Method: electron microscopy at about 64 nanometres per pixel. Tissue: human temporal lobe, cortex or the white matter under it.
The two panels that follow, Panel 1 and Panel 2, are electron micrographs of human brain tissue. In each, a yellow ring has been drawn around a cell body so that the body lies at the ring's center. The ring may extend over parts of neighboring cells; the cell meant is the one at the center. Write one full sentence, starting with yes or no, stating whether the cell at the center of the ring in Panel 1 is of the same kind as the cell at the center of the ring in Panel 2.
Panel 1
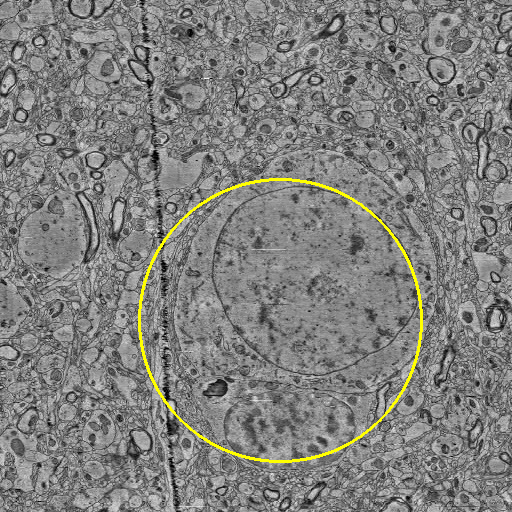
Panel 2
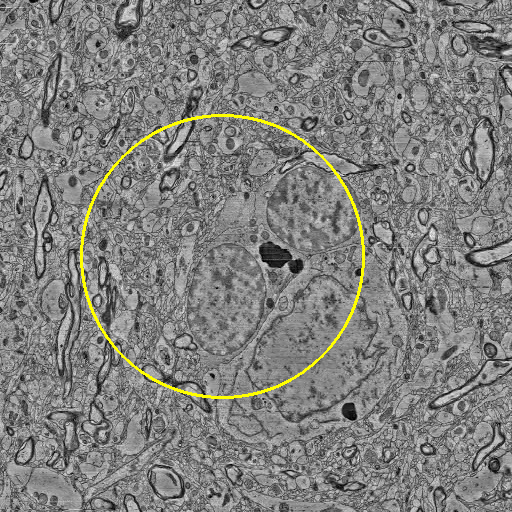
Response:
No, the cells in the two panels are of two kinds.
